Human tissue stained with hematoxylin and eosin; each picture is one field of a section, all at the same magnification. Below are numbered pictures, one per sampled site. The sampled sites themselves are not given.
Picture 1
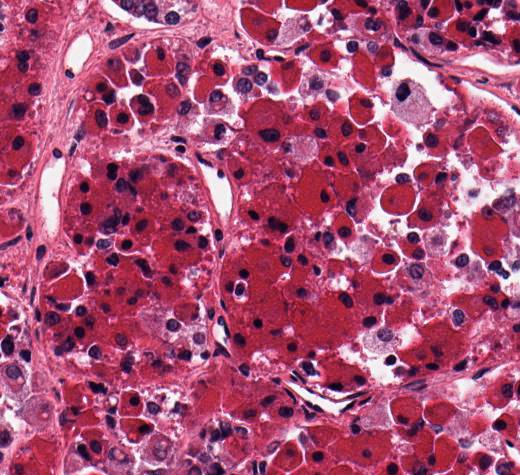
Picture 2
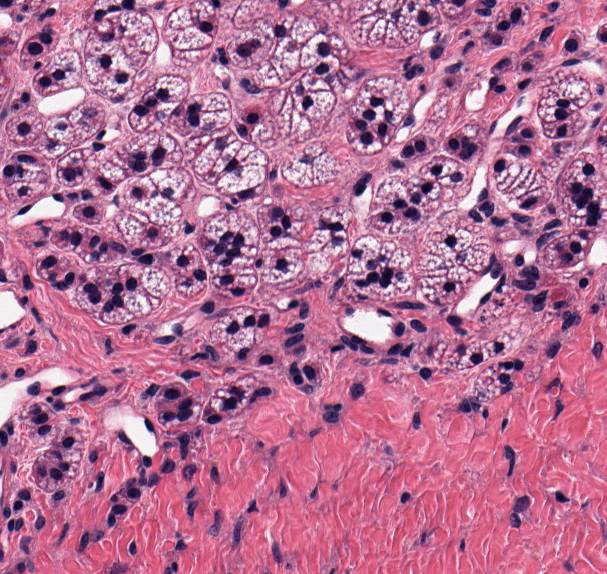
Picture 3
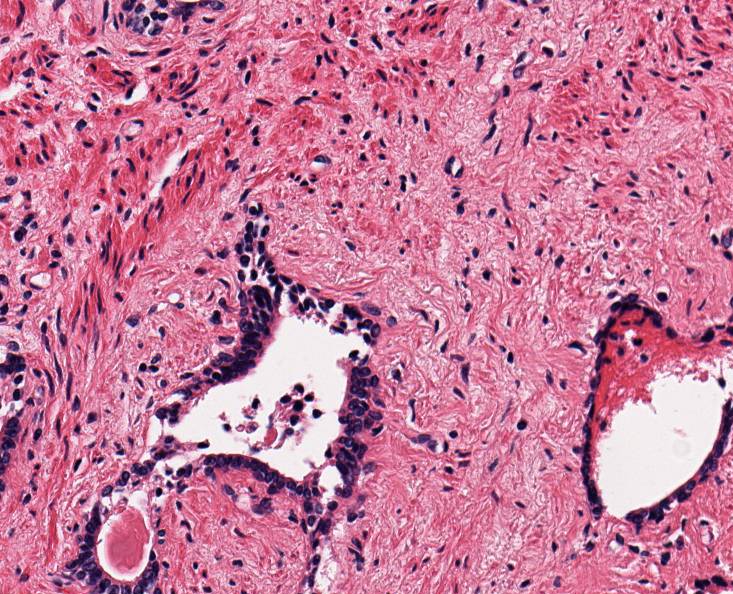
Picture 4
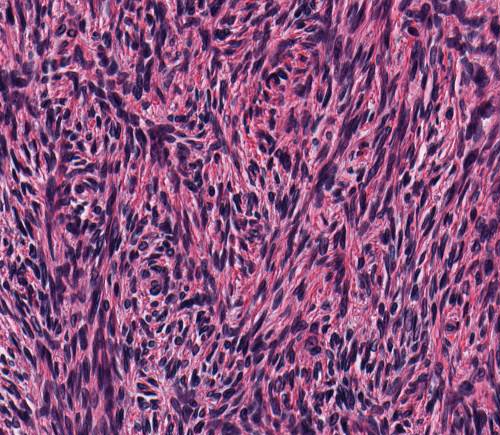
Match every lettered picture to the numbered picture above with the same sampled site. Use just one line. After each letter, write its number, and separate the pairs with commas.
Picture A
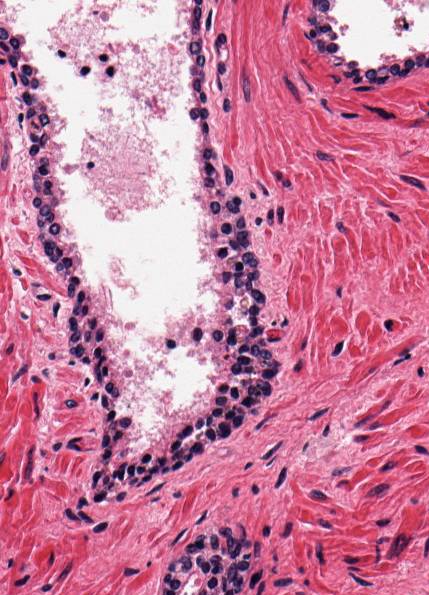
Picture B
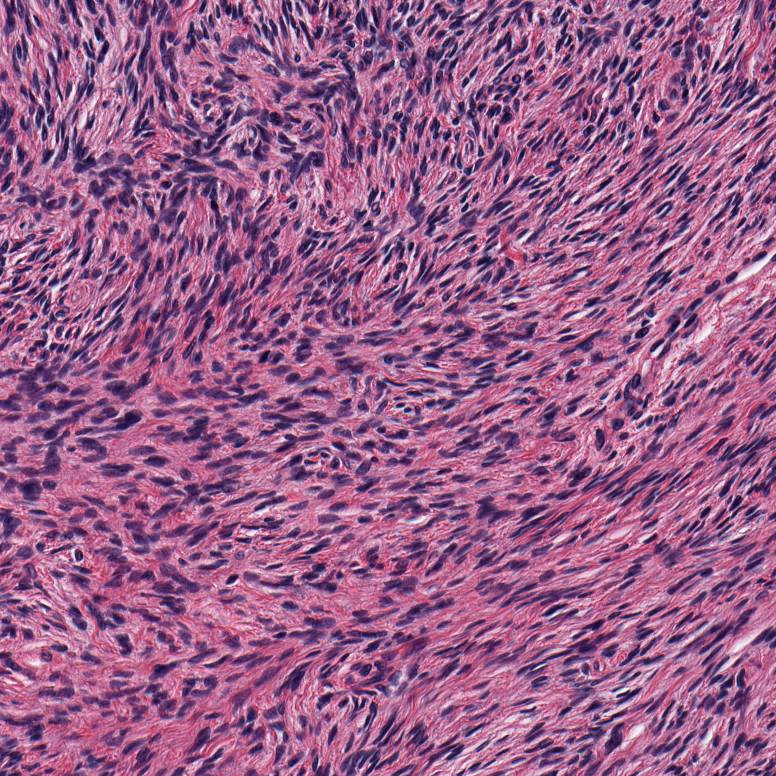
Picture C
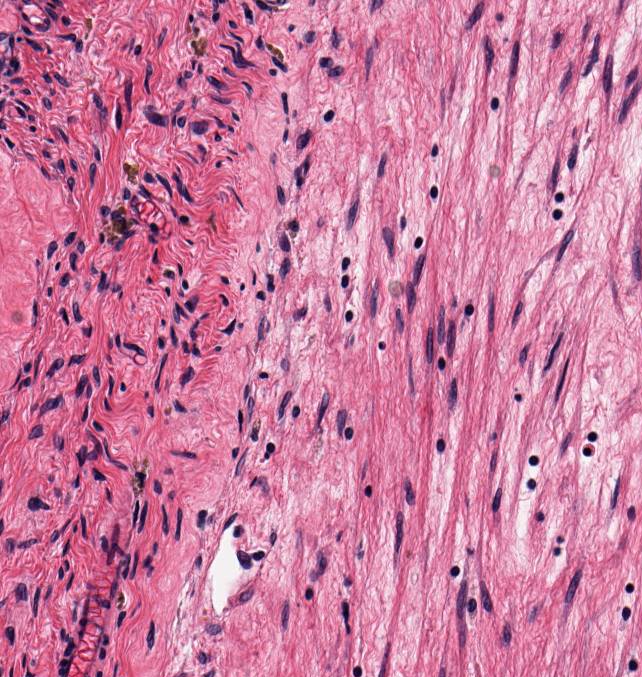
A 3, B 4, C 4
